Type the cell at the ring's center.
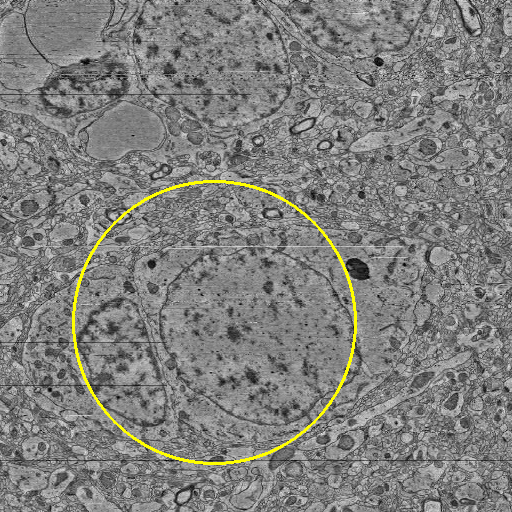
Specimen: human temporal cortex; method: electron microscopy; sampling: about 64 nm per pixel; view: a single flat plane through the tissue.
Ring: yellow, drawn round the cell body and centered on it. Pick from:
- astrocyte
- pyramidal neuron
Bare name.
pyramidal neuron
